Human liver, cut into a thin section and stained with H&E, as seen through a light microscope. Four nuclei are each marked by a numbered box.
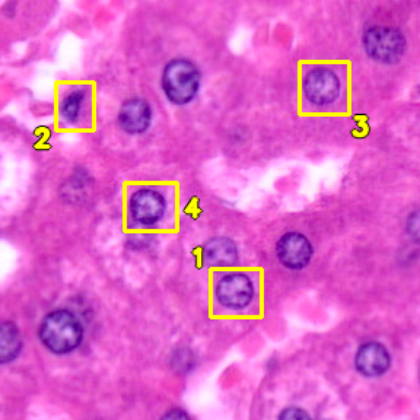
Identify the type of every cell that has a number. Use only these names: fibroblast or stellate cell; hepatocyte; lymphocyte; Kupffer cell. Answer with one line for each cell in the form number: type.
1: hepatocyte
2: fibroblast or stellate cell
3: hepatocyte
4: hepatocyte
